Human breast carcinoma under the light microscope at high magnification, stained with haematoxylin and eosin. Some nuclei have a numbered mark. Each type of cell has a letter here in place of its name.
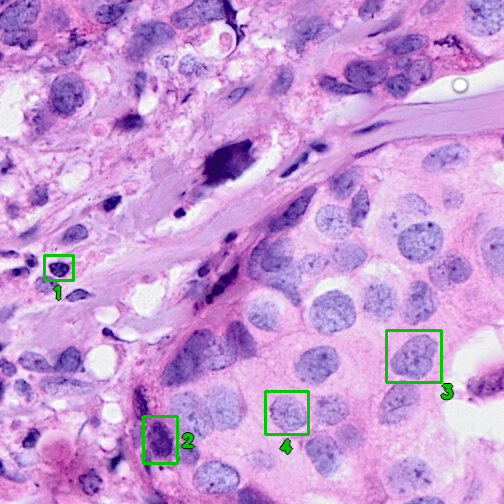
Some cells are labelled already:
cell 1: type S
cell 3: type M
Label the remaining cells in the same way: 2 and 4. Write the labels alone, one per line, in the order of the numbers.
type M
type M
